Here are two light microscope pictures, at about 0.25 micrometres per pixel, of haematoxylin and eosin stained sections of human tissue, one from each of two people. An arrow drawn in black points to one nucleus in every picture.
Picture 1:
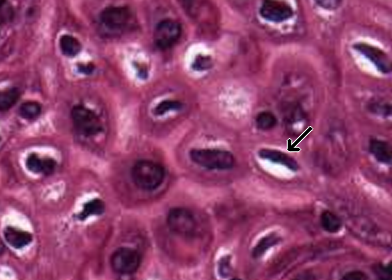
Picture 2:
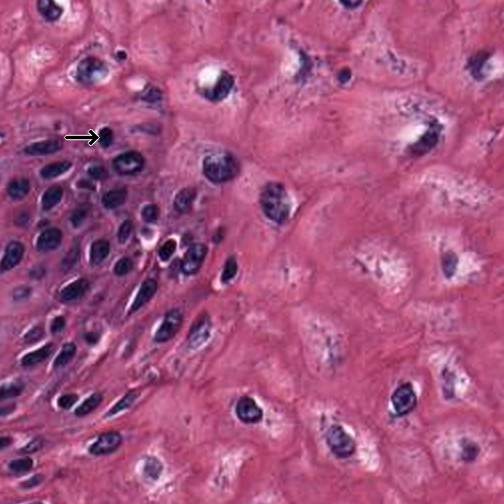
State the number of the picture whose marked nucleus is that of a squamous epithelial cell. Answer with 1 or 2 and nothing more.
1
